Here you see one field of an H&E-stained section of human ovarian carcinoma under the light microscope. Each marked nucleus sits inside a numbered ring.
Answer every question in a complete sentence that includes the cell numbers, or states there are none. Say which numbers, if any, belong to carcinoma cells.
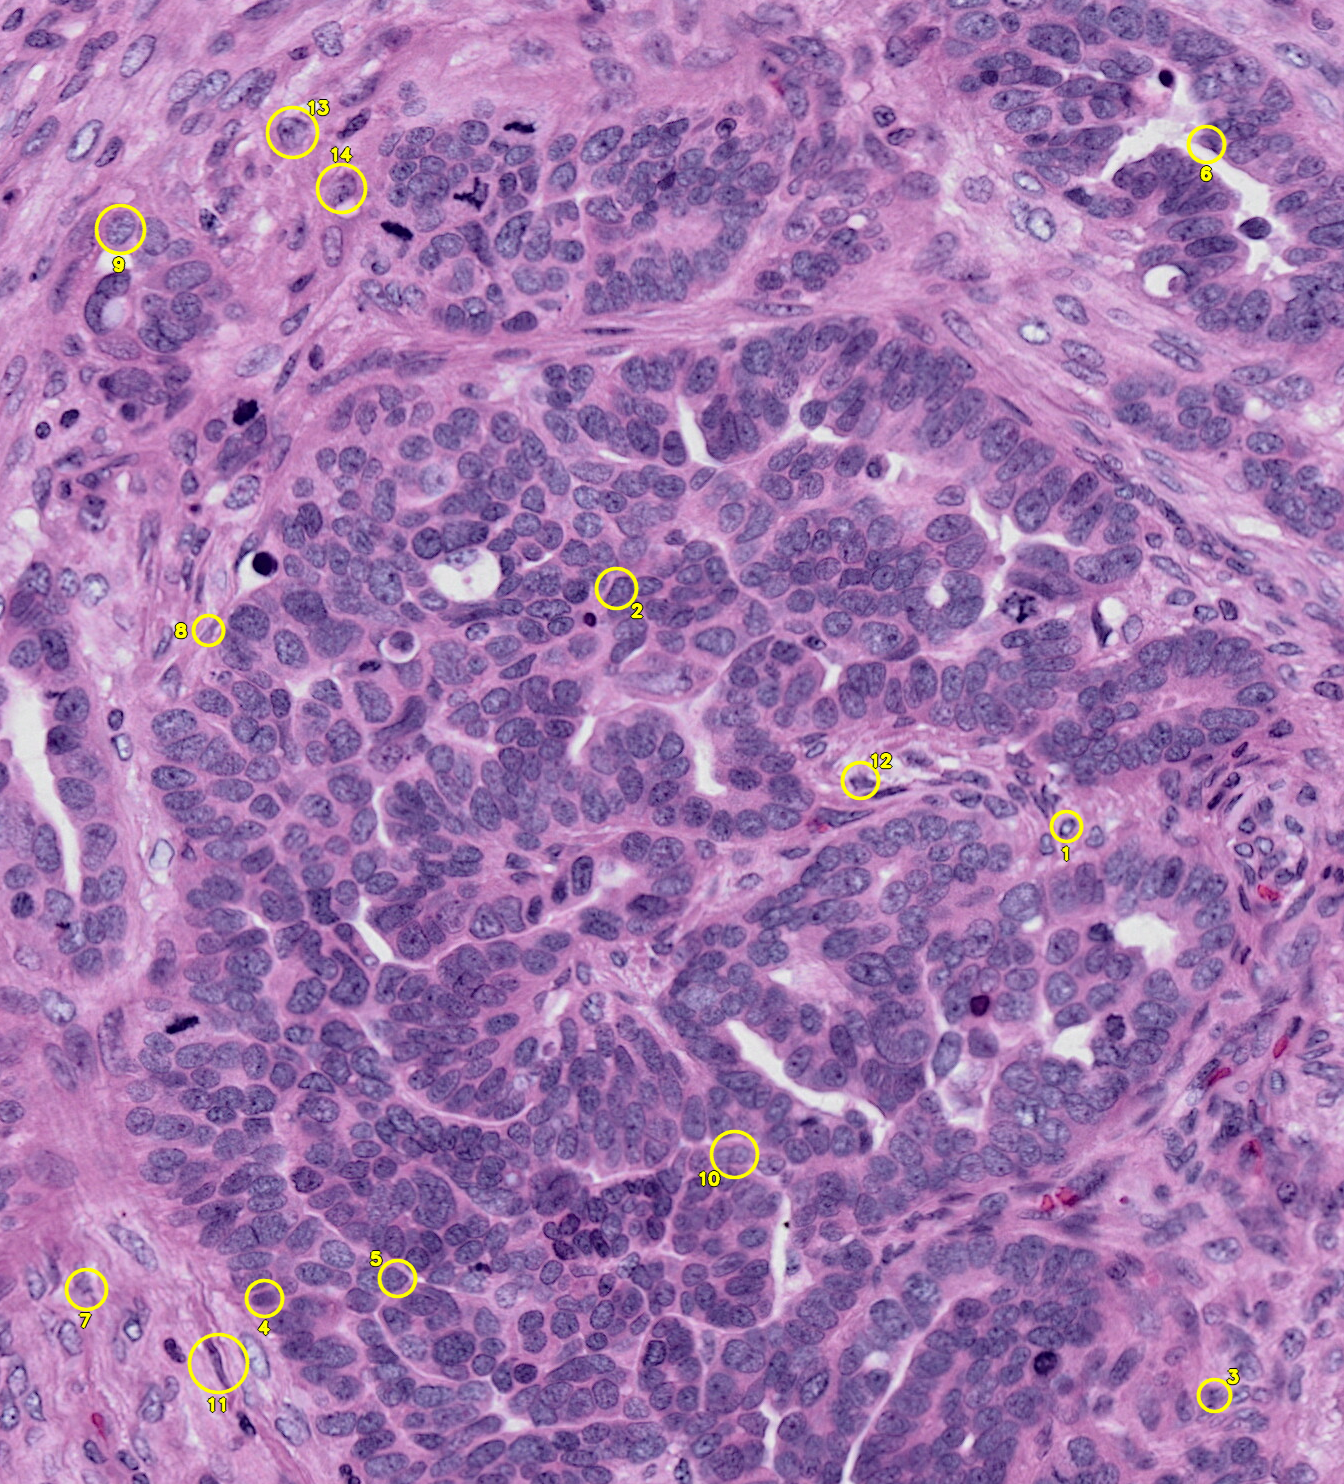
As for the cells numbered 2, 4, 5, 6, 9 and 10, they are carcinoma cells.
